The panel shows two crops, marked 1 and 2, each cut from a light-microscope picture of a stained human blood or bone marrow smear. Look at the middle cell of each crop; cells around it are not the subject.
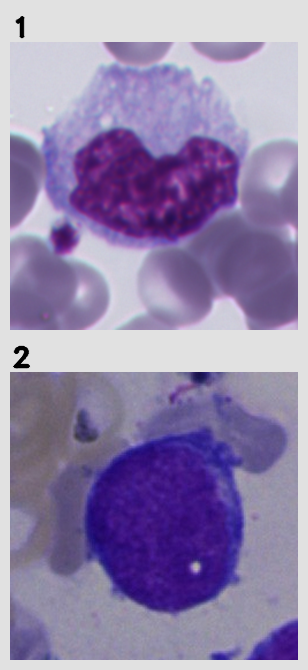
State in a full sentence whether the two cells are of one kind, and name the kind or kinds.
No, crop 2 holds a blast, while crop 1 holds a monocyte.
